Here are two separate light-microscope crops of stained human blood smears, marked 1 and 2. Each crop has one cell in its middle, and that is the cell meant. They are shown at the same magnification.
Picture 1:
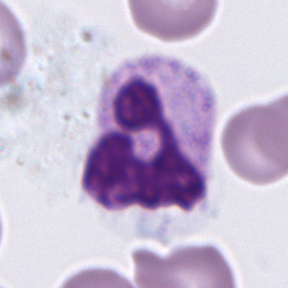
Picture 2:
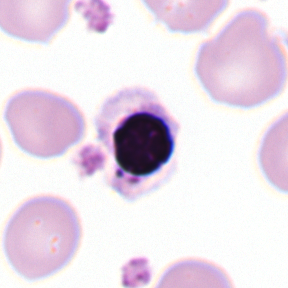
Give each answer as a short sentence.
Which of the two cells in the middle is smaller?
It is the cell in picture 2; the cell in picture 1 has about 2.5 times its area.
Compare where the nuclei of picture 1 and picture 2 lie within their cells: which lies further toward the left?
It is the nucleus in picture 1 that lies further toward the left of its cell.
